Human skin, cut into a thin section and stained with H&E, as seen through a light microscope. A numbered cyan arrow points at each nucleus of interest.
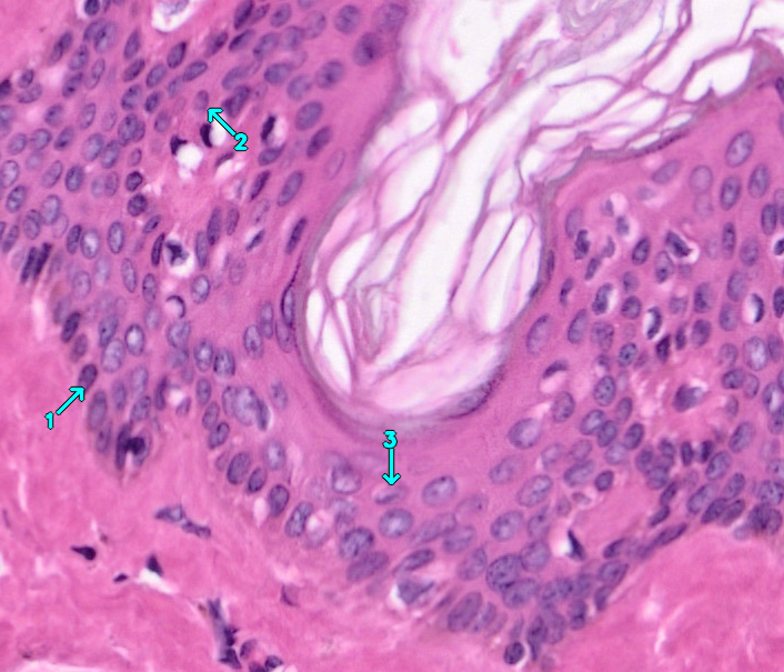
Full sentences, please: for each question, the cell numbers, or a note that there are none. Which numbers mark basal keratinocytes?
When it comes to cells 1 and 2, they are basal keratinocytes.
